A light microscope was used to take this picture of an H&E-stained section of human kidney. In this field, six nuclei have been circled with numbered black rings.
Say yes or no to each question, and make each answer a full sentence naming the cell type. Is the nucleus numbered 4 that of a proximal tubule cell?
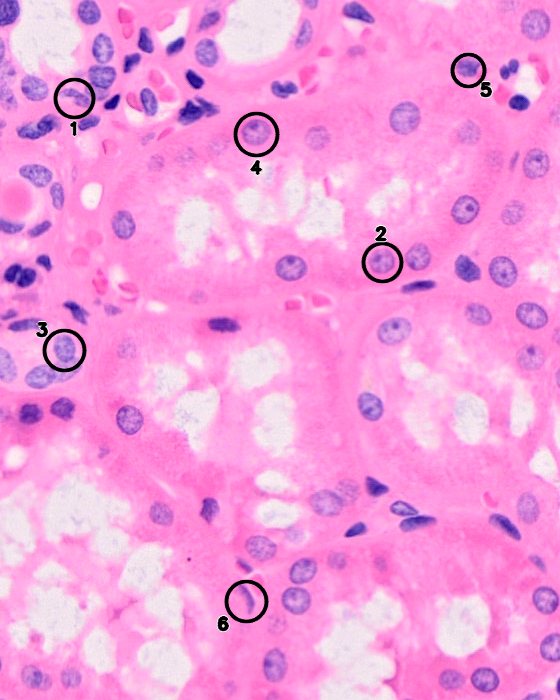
Yes, the cell whose number is 4 is a proximal tubule cell.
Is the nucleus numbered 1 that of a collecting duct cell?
Yes, number 1 marks a cell that is a collecting duct cell.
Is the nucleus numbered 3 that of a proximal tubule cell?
No, the cell at marker 3 is not a proximal tubule cell; it is a collecting duct cell.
